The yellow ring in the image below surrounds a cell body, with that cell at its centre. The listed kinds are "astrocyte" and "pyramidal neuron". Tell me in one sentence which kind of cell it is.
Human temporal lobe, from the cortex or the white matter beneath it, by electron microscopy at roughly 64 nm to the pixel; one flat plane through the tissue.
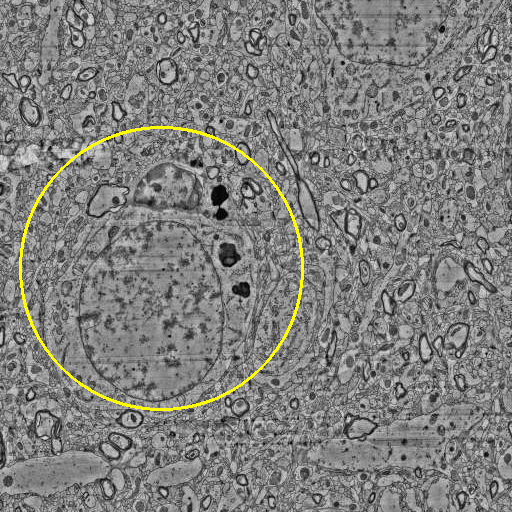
The centre of the ring holds a pyramidal neuron.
